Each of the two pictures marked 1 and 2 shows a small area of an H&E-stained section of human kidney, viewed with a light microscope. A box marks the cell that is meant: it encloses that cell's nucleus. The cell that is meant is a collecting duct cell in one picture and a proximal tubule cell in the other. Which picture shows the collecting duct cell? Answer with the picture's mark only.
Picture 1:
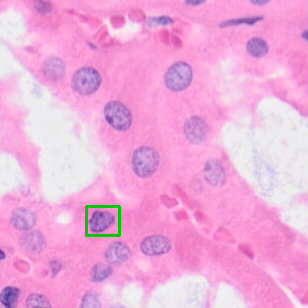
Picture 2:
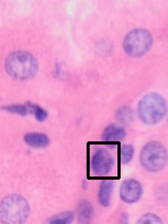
2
